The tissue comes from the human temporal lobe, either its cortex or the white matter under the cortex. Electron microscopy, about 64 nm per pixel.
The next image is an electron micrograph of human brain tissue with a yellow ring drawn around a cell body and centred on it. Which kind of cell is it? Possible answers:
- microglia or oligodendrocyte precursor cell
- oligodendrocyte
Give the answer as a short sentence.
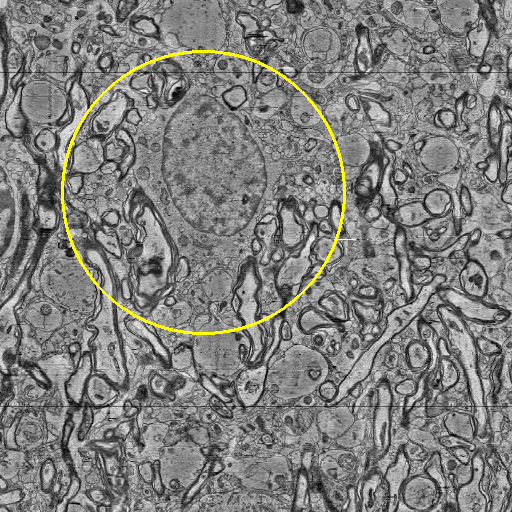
In the ring's centre is an oligodendrocyte.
